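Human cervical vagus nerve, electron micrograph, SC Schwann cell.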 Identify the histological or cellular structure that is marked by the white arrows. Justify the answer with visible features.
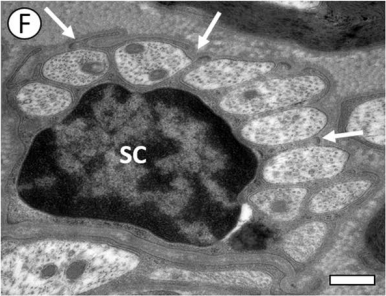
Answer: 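A thin fuzzy grey line runs along the outer surface of the cell membrane. The line follows the outer contour of the group of axons. That points to this answer: basal lamina.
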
